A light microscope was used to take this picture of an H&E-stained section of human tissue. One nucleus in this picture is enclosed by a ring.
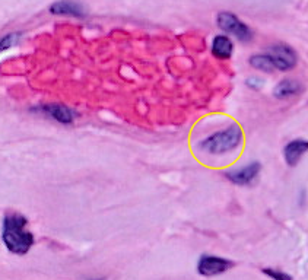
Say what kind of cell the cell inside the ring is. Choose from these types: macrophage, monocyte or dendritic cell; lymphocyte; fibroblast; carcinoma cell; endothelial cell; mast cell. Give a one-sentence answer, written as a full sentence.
Placed in its cell category, the cell inside the ring is an endothelial cell.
